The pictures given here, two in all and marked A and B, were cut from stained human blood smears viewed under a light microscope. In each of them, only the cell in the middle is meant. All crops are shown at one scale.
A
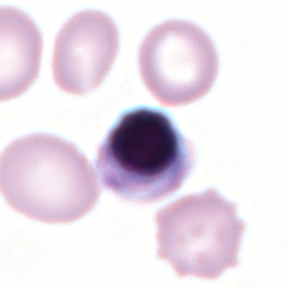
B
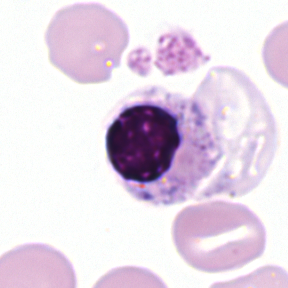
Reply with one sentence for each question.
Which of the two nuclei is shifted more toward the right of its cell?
The nucleus in crop A lies further toward the right of its cell.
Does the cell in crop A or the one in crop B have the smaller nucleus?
Crop A shows the smaller nucleus, since that in crop B covers about 1.5 times as much area.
